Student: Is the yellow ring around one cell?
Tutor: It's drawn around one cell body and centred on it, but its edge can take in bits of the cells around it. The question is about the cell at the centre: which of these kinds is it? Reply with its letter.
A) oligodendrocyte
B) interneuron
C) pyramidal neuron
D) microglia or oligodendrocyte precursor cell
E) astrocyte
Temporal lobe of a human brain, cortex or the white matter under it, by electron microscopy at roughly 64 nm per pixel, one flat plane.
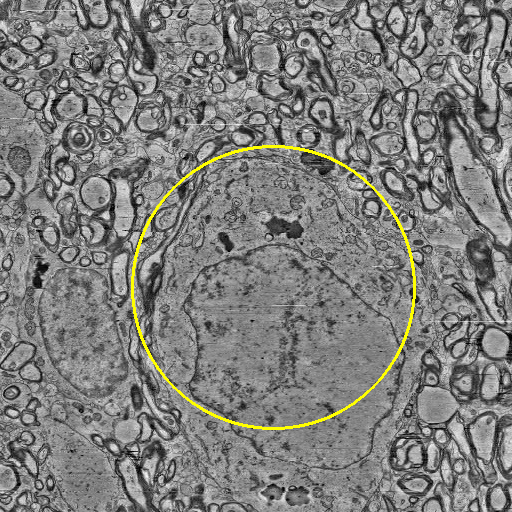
C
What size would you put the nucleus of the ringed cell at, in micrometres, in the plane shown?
In this plane the nucleus is about 16 micrometres by 13.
